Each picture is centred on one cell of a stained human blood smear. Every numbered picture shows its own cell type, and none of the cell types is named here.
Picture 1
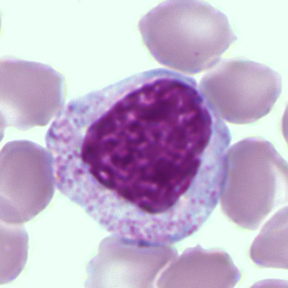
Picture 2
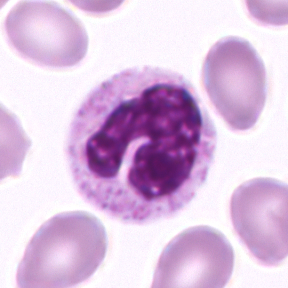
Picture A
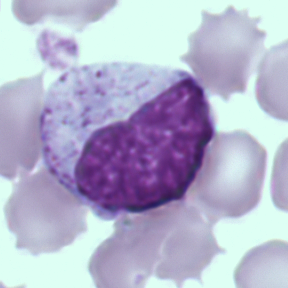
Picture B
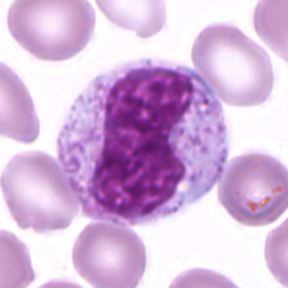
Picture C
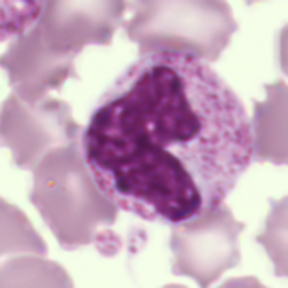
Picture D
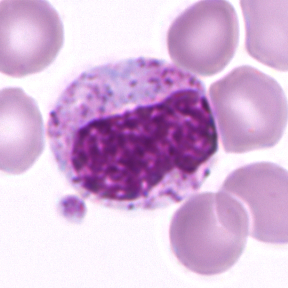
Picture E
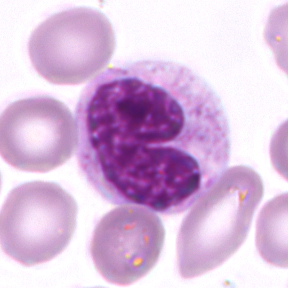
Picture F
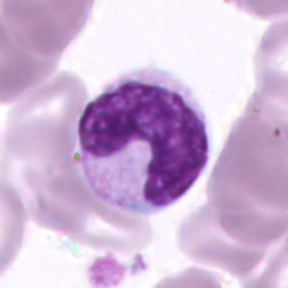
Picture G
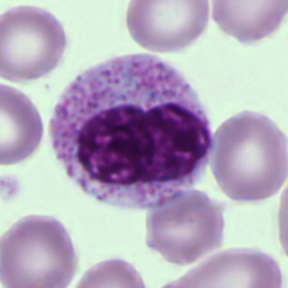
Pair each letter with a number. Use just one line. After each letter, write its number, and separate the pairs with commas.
A 1, B 1, C 2, D 1, E 2, F 2, G 2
